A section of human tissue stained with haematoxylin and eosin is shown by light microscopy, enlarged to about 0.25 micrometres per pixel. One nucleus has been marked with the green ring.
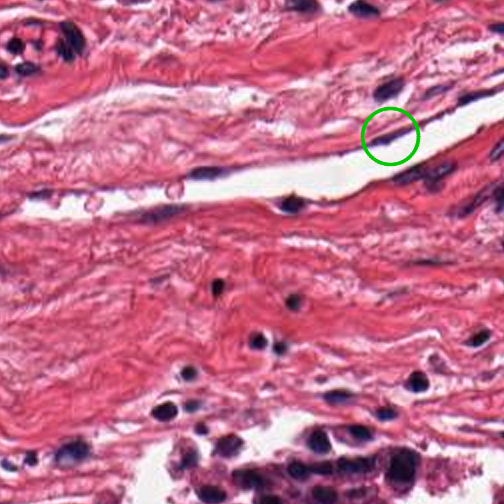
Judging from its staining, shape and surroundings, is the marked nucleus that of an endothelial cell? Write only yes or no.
yes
